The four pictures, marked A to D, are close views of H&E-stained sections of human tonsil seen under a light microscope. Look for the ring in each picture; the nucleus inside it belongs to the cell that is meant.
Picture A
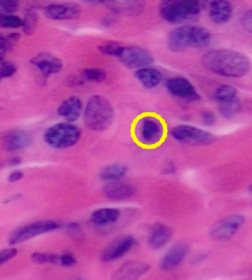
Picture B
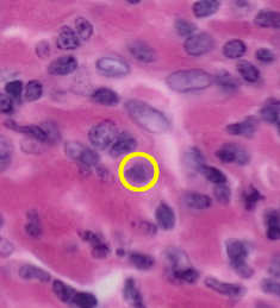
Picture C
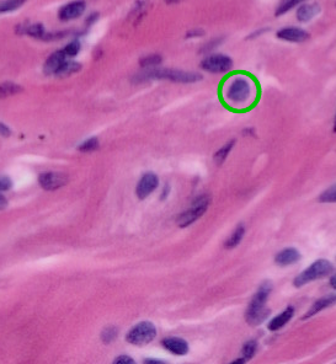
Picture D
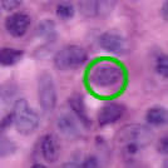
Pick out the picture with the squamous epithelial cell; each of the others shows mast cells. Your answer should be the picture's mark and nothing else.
D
